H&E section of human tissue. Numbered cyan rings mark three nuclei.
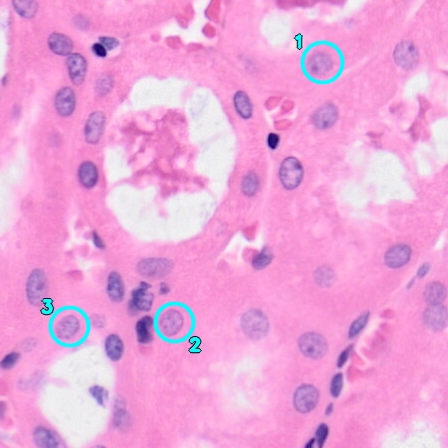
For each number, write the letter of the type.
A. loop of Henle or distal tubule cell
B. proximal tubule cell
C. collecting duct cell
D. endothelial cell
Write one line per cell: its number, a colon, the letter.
1: B
2: B
3: A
